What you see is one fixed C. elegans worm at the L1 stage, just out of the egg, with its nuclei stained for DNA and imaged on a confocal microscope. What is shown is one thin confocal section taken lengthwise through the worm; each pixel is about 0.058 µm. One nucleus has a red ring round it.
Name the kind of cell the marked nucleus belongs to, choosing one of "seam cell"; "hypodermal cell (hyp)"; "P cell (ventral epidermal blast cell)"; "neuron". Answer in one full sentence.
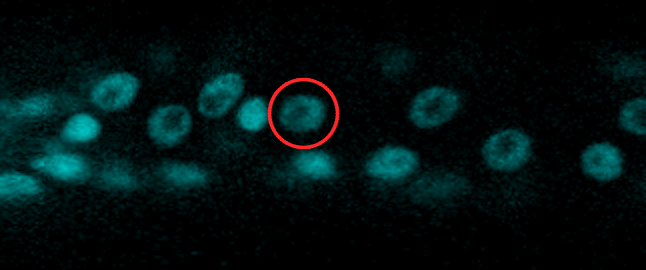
The nucleus comes from a seam cell.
